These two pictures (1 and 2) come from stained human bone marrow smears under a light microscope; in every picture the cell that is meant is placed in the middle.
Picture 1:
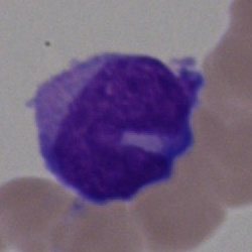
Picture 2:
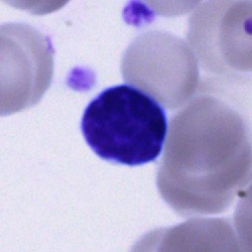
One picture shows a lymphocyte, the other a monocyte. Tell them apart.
1: monocyte
2: lymphocyte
